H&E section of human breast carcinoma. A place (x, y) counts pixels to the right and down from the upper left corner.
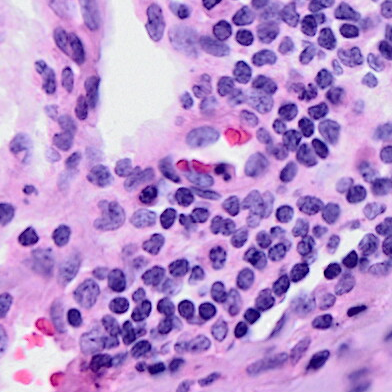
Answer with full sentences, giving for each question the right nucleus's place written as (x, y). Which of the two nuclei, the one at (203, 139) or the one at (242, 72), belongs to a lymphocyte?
The nucleus at (242, 72) is the one of the two that belongs to a lymphocyte.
